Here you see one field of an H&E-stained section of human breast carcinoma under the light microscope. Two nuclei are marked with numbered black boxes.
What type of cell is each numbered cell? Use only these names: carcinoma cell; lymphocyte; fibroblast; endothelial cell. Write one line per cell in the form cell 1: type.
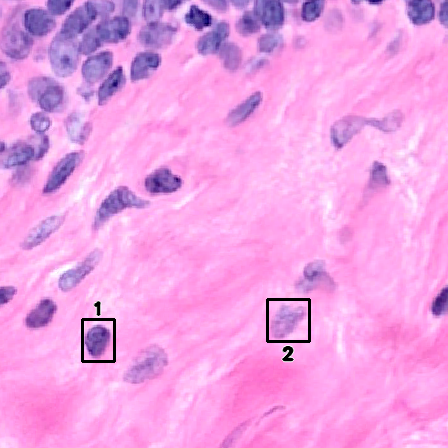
cell 1: lymphocyte
cell 2: fibroblast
